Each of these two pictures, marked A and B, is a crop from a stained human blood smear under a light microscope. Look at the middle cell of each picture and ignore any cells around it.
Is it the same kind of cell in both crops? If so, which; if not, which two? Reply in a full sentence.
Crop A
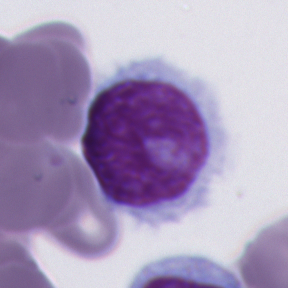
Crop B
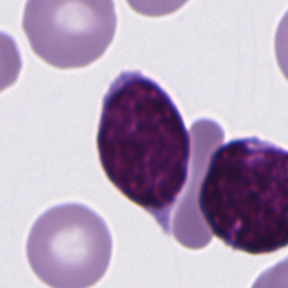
No, look again: crop A shows a hairy cell, and crop B shows a myeloblast.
